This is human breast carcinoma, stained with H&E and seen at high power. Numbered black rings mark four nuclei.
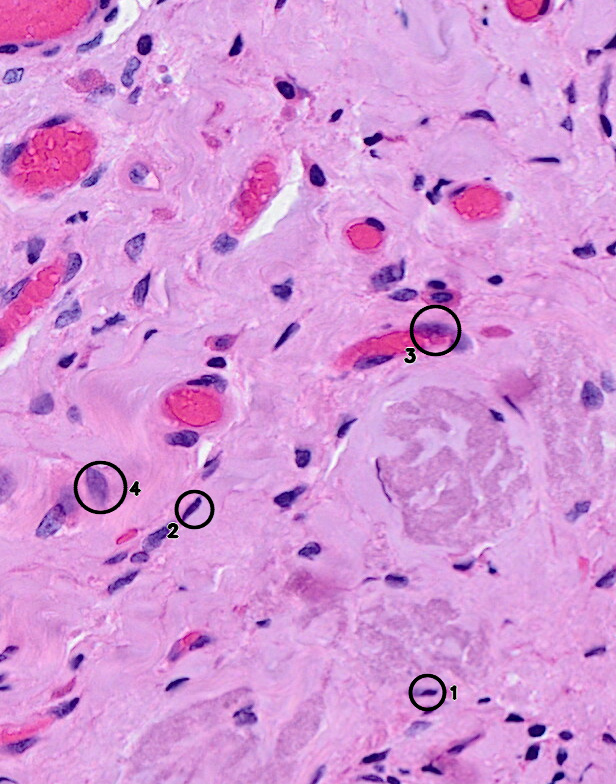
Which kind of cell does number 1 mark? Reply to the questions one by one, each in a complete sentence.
The cell whose nucleus carries the number 1 is a fibroblast.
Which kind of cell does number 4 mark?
The cell referenced by the number 4 is a fibroblast in this field.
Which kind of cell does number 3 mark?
The expected answer is that cell 3 is an endothelial cell.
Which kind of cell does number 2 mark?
The cell marked with the number 2 is a fibroblast.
